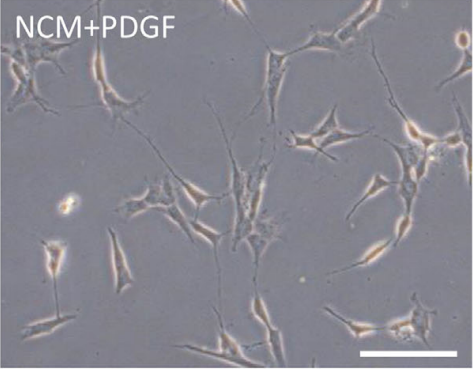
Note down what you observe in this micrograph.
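Some cell bodies sit in small clumps with irregular, flattened edges. A few rounded refractile cells lie scattered among them.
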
